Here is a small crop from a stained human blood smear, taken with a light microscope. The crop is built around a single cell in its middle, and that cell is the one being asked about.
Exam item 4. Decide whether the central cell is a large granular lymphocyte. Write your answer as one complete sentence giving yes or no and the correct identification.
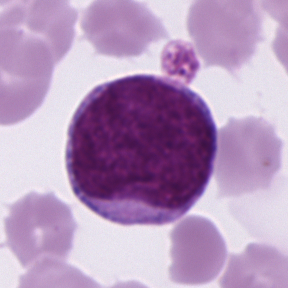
No, the cell in the middle is correctly named a myeloblast, not a large granular lymphocyte.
